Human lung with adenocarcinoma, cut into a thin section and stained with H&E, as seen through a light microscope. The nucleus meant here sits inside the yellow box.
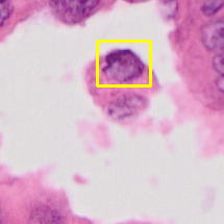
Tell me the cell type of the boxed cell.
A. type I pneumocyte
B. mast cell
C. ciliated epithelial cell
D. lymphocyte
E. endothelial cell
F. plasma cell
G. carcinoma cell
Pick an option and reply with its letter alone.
G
